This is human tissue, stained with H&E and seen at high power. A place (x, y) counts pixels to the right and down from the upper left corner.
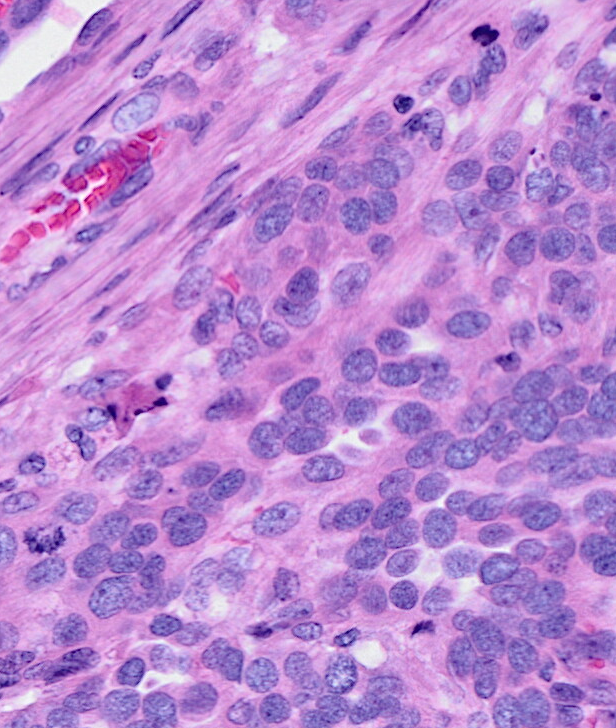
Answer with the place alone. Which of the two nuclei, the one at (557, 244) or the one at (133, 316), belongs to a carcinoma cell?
(557, 244)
